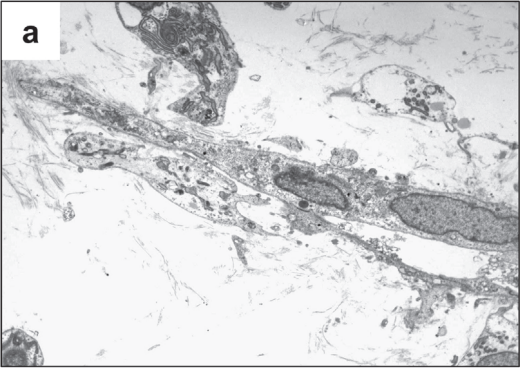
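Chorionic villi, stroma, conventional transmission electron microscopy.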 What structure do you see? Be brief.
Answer: Immature angiogenic cell cords.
